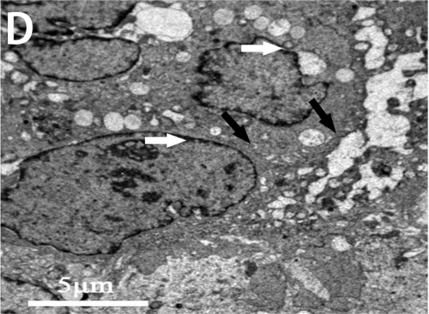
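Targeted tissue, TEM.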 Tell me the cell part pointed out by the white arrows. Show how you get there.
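Nucear membranes. The white arrows point at the thin dark line bounding the nuclei. The nuclei are outlined by an irregular envelope enclosing clumped chromatin.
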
